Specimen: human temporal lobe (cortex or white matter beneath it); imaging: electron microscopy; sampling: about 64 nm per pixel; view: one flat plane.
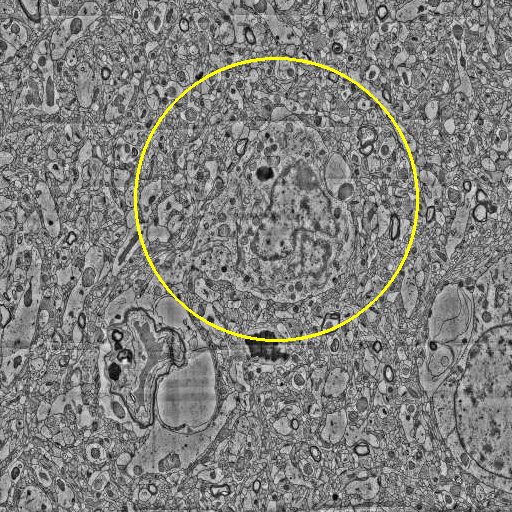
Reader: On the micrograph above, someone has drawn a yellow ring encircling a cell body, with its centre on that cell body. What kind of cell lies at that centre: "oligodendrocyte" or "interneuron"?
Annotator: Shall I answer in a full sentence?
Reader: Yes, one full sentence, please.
Here an interneuron sits at the centre of the yellow ring drawn on the micrograph.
